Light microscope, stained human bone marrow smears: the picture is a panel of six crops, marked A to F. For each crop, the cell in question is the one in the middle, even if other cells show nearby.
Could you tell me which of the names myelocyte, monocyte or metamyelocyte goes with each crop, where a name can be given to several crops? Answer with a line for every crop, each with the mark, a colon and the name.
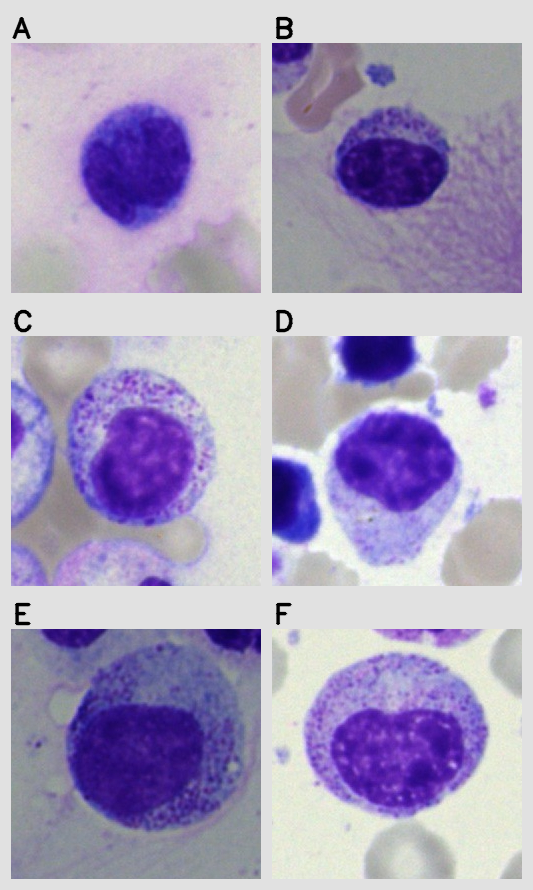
A: monocyte
B: myelocyte
C: myelocyte
D: myelocyte
E: myelocyte
F: myelocyte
